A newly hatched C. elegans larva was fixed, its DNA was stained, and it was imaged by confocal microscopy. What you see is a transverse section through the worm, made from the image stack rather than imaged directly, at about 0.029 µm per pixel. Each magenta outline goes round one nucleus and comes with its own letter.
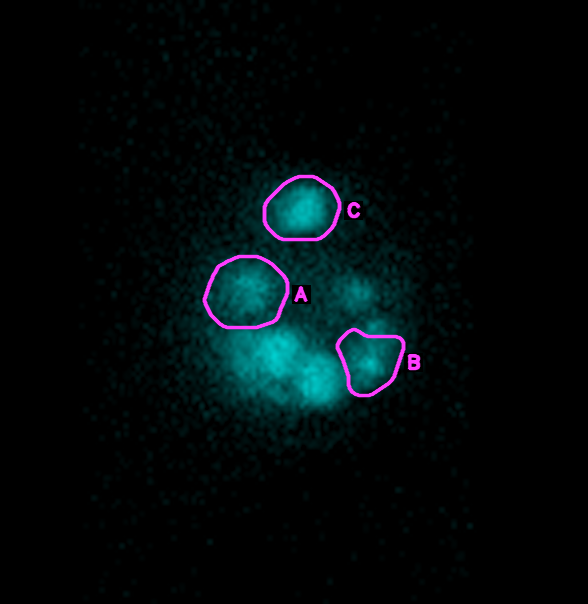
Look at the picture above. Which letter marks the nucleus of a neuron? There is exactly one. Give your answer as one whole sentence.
Nucleus A belongs to a neuron.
